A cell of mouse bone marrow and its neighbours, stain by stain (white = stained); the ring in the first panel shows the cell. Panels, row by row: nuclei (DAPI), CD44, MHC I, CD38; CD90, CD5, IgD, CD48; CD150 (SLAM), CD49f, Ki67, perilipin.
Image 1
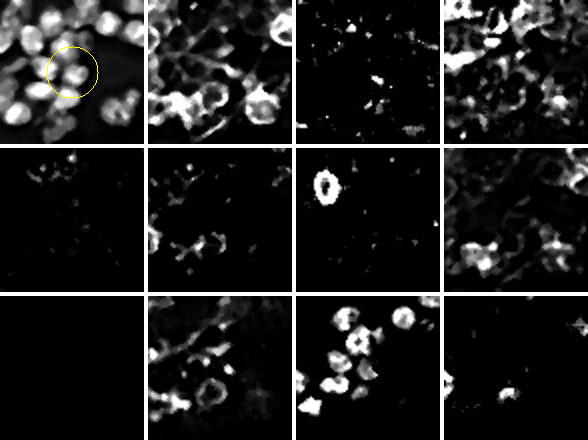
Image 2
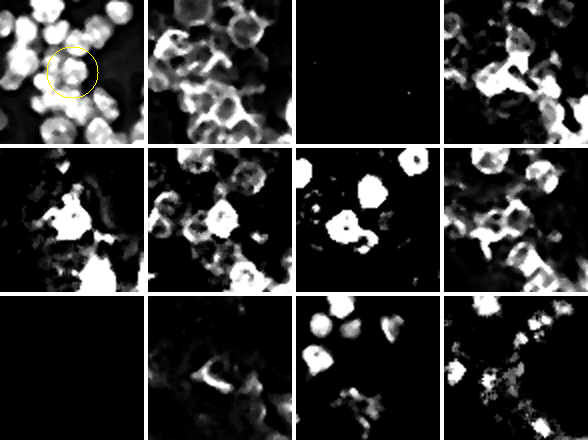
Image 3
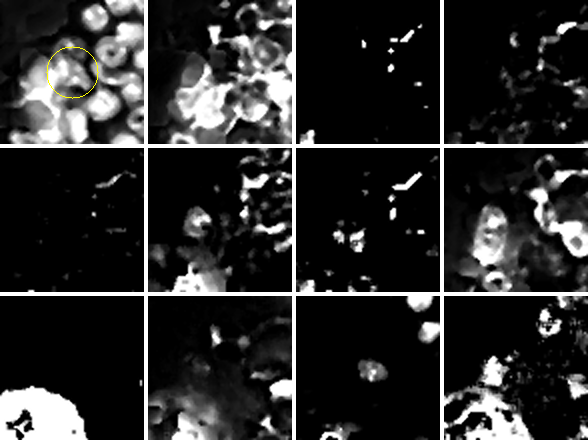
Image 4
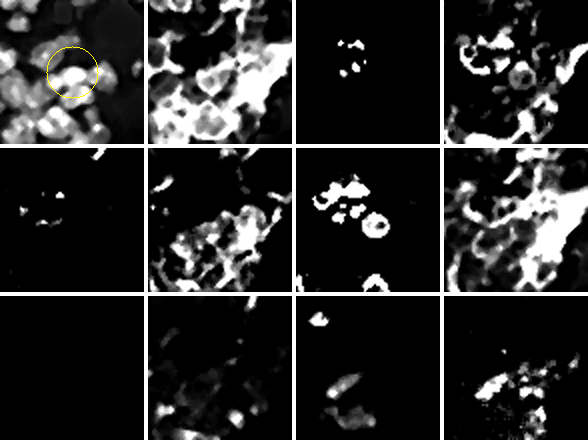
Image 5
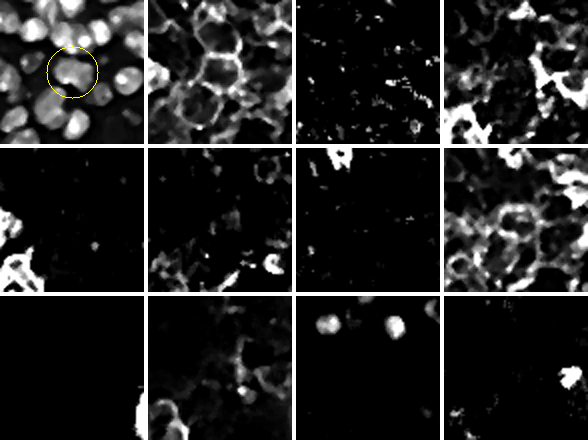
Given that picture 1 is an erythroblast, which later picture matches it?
3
